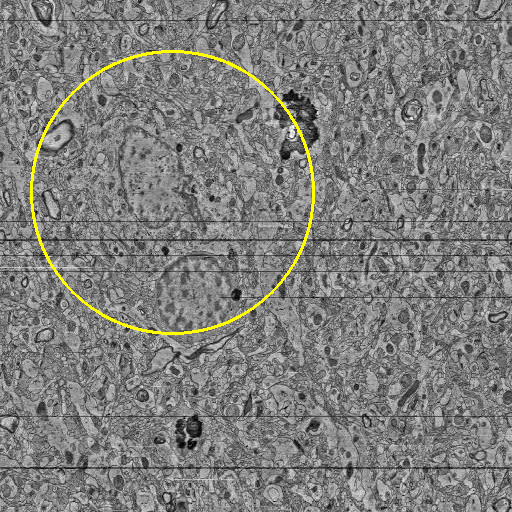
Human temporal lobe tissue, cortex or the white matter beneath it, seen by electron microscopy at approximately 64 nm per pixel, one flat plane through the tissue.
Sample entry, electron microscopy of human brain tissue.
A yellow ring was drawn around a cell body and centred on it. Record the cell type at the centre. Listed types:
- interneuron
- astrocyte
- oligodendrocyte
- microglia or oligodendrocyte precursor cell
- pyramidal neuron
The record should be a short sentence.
The cell at the ring's centre is an interneuron.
